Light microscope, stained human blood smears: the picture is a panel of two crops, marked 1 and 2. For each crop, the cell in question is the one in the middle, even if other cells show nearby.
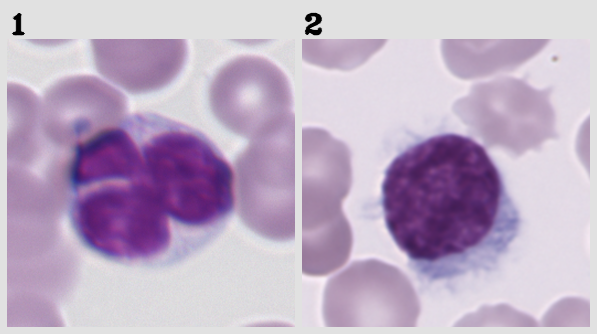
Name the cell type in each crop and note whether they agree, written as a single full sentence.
No, what crop 1 shows is a large granular lymphocyte, and what crop 2 shows is a hairy cell.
